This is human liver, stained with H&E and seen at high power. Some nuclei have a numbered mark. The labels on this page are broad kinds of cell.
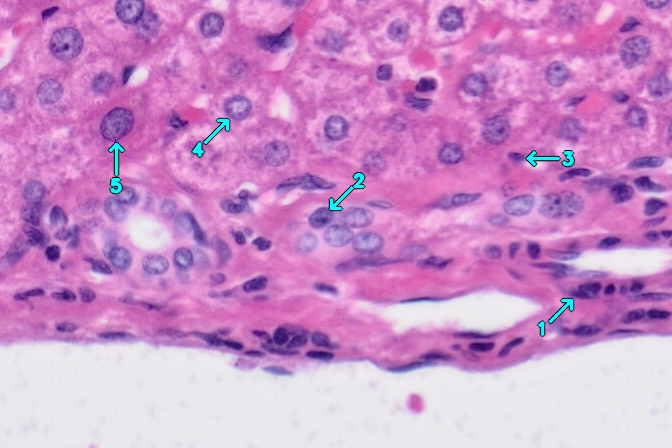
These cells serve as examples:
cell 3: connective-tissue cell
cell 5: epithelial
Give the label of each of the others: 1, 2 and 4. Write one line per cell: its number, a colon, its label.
1: connective-tissue cell
2: epithelial
4: epithelial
